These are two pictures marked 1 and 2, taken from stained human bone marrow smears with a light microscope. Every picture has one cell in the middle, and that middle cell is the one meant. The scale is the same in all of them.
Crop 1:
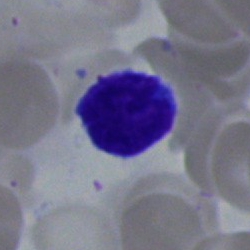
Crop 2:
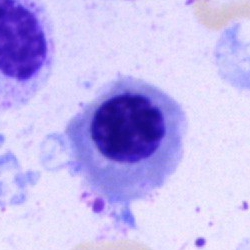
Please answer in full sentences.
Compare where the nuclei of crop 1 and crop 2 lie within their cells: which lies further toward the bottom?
The nucleus in crop 1 lies further toward the bottom of its cell.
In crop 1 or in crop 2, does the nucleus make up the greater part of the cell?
Of the two, the nucleus in crop 1 makes up the greater part of its cell.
